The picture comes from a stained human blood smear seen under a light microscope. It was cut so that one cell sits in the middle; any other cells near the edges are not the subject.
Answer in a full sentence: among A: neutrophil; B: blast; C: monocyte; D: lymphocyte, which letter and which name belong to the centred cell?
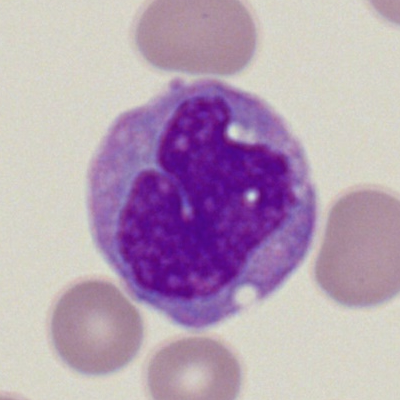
The cell at the centre, correctly named in option C, is a monocyte.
